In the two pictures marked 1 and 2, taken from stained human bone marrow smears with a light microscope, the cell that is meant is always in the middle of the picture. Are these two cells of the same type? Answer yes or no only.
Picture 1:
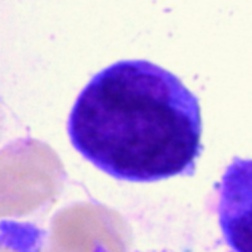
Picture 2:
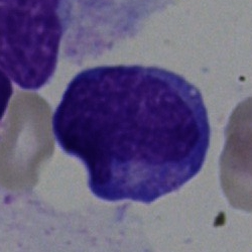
yes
